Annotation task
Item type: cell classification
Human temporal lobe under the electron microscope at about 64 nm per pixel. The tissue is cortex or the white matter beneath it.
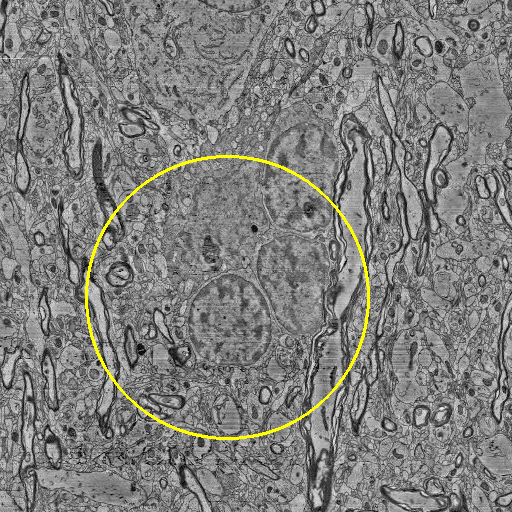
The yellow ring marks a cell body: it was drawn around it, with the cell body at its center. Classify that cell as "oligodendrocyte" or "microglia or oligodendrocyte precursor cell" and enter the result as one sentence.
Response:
The ring's center falls on an oligodendrocyte.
